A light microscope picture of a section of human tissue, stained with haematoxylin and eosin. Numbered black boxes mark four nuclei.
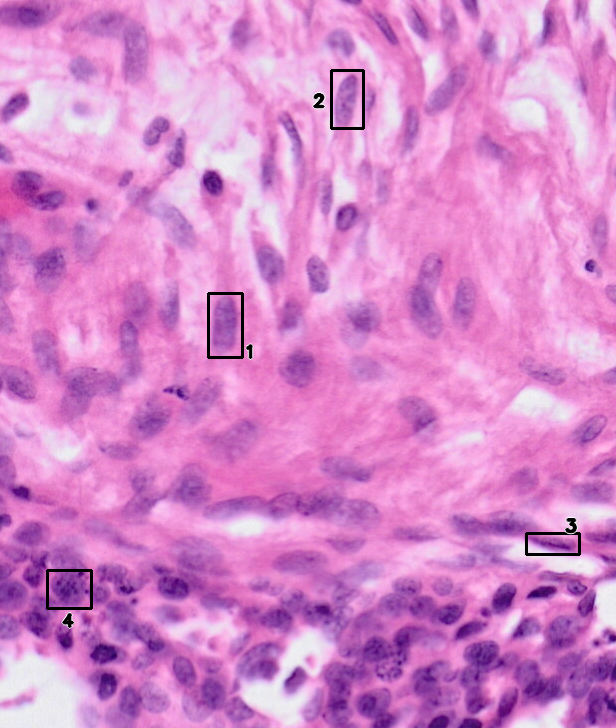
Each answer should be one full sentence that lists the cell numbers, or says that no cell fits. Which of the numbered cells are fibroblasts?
The cells with numbers 1, 2 and 3 are fibroblasts by type.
